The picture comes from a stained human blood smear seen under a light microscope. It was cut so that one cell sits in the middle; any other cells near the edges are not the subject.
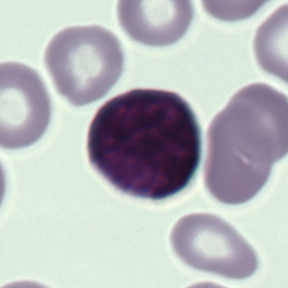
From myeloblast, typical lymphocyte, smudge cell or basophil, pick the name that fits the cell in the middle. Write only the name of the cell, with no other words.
myeloblast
